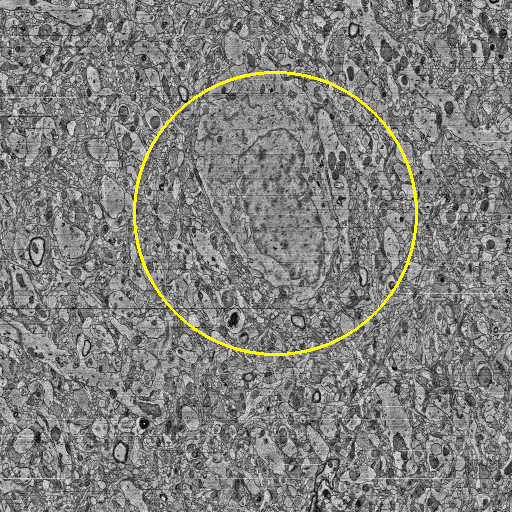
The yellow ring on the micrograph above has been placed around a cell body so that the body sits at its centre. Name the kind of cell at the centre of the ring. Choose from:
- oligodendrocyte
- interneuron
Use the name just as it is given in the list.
interneuron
